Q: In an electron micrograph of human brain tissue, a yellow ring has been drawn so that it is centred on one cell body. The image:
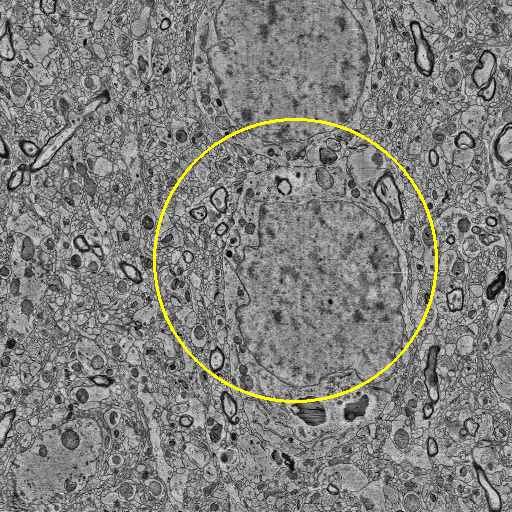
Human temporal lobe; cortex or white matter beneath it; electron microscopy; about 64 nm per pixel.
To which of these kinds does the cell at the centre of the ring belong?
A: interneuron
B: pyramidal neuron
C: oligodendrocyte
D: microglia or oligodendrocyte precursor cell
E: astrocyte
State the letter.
A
